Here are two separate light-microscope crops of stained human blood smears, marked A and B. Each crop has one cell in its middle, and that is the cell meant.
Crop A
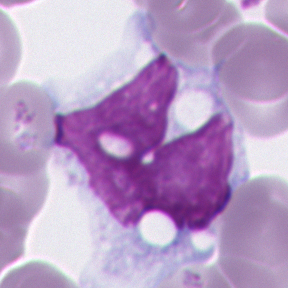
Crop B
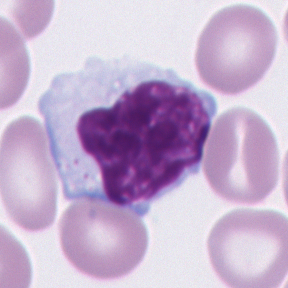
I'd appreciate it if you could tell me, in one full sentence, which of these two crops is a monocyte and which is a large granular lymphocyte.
For crop A the cell is a monocyte, and for crop B it is a large granular lymphocyte.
